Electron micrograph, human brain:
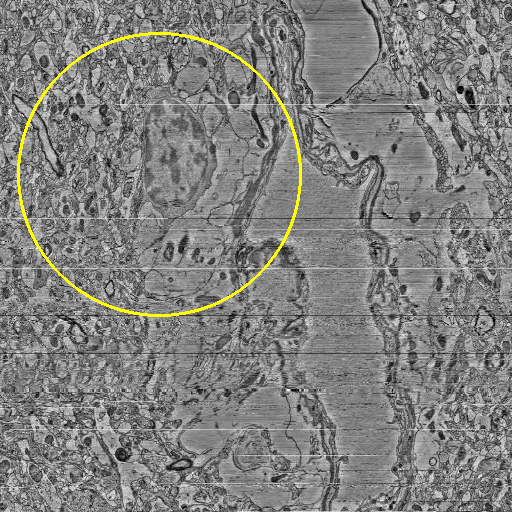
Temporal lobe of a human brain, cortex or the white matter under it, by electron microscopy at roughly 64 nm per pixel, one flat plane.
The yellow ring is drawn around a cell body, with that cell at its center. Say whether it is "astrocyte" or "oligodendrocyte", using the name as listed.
oligodendrocyte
